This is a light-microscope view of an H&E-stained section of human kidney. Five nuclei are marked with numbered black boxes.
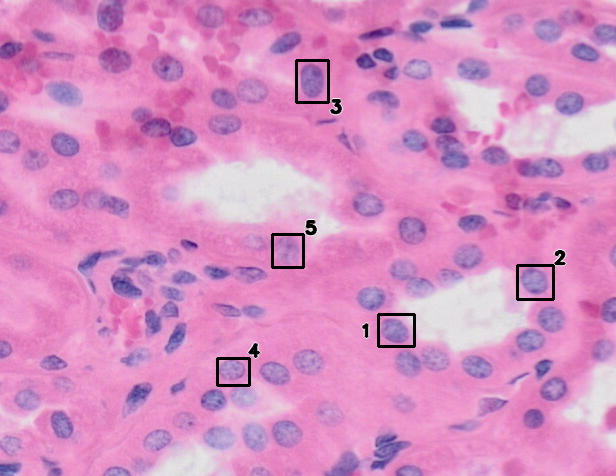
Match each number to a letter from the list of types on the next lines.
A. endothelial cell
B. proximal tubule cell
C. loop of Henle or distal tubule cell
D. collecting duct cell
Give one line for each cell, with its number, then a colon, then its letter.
1: C
2: C
3: B
4: C
5: B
